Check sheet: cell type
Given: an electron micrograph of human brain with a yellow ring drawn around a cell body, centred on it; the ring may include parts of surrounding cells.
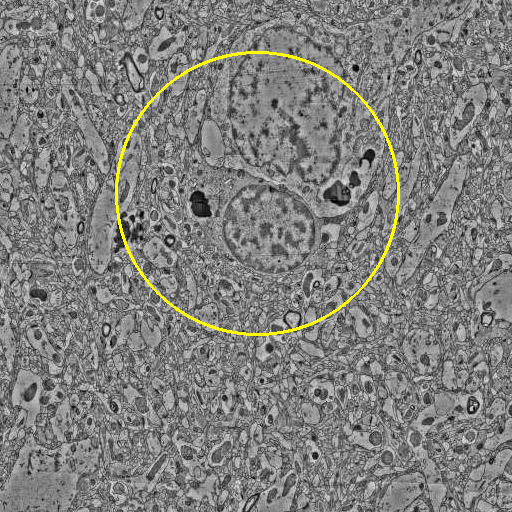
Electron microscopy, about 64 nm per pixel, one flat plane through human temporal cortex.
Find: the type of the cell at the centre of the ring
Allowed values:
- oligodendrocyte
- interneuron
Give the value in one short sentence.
Here the ringed cell is an oligodendrocyte.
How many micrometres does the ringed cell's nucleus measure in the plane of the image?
Roughly 6 micrometres across for the nucleus, in this plane.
